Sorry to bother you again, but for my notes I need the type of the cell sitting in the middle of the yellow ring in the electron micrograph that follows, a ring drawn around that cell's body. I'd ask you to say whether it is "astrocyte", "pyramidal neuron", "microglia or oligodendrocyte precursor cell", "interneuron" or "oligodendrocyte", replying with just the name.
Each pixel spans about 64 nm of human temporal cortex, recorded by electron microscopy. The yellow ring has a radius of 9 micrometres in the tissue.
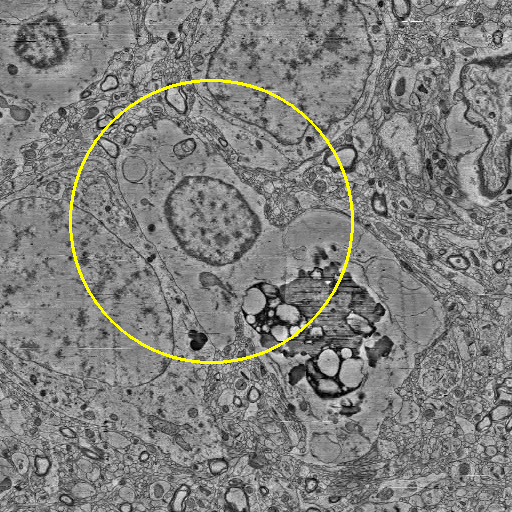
astrocyte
